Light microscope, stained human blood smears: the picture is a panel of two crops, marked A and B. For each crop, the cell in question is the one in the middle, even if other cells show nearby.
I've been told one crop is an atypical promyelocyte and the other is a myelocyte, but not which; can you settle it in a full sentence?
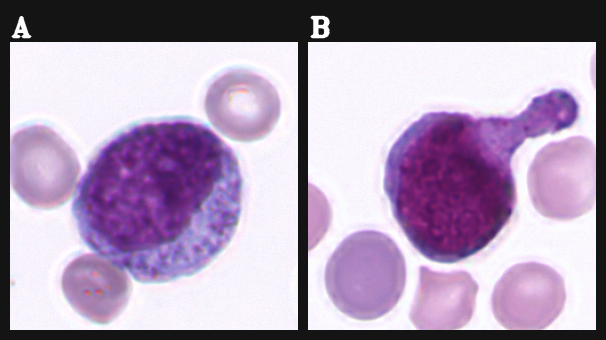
What crop A shows is a myelocyte, and what crop B shows is an atypical promyelocyte.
